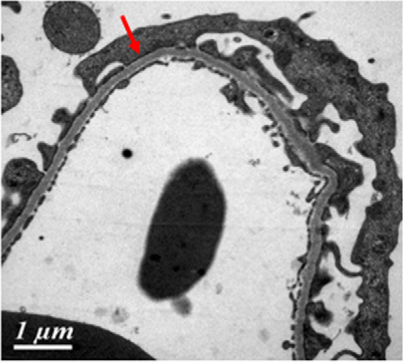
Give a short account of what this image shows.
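This transmission electron micrograph shows a single kidney capillary loop with a red blood cell in its lumen, covered on the outside by dark podocyte cytoplasm. Over a long stretch of the wall, marked by the arrow, the podocyte lies on the basement membrane as a continuous flat sheet instead of separate foot processes. A few small, separate processes are still visible along other parts of the loop, so the flattening is patchy rather than complete.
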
